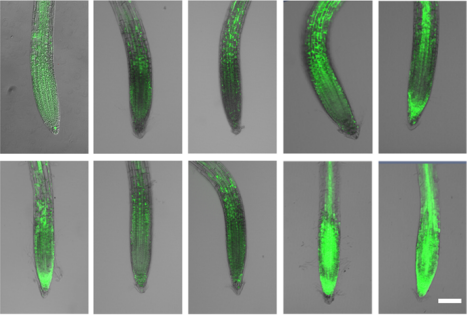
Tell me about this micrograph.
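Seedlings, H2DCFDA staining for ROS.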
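Two rows of primary root tips are seen, with green fluorescence laid over a grey transmitted-light image. Each root tapers to a rounded apex. In some roots the green is faint and speckled and is scattered along the root. In others it is bright and continuous through the tip region. Several roots are curved rather than straight.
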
